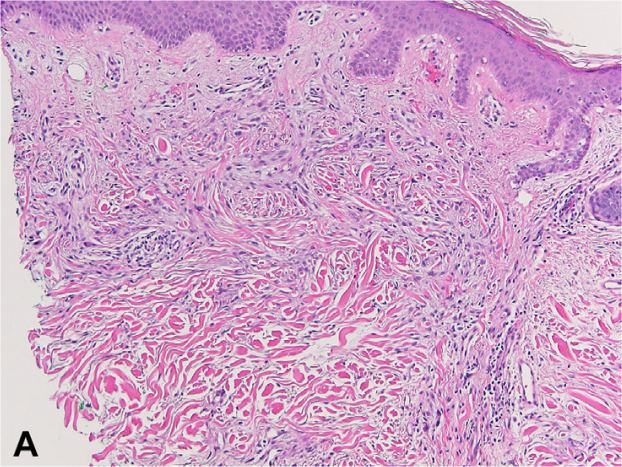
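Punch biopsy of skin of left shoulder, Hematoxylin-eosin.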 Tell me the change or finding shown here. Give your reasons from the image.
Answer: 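Interstitial and vaguely palisaded proliferation of variably spindled and epithelioid-shaped cells. Many cells lie scattered between the pink collagen bundles of the dermis. The cells are partly elongated and partly plumper. The cells form loose, ill-defined rows between the collagen.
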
